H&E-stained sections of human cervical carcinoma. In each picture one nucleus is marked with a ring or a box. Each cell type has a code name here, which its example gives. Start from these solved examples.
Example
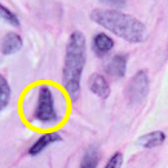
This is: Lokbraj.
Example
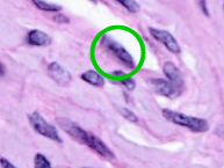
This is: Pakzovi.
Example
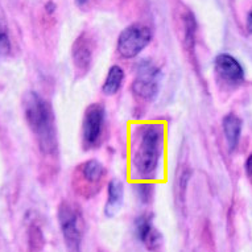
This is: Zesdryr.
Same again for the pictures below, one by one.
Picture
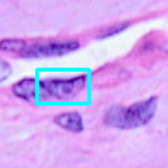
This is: Pakzovi.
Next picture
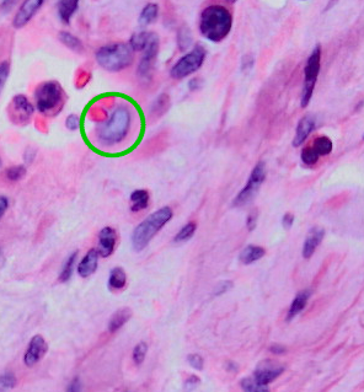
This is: Pakzovi.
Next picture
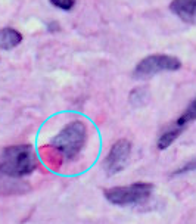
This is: Pakzovi.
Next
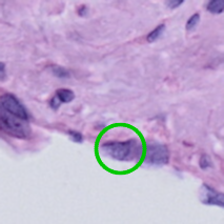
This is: Pakzovi.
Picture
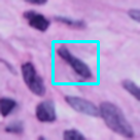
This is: Lokbraj.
